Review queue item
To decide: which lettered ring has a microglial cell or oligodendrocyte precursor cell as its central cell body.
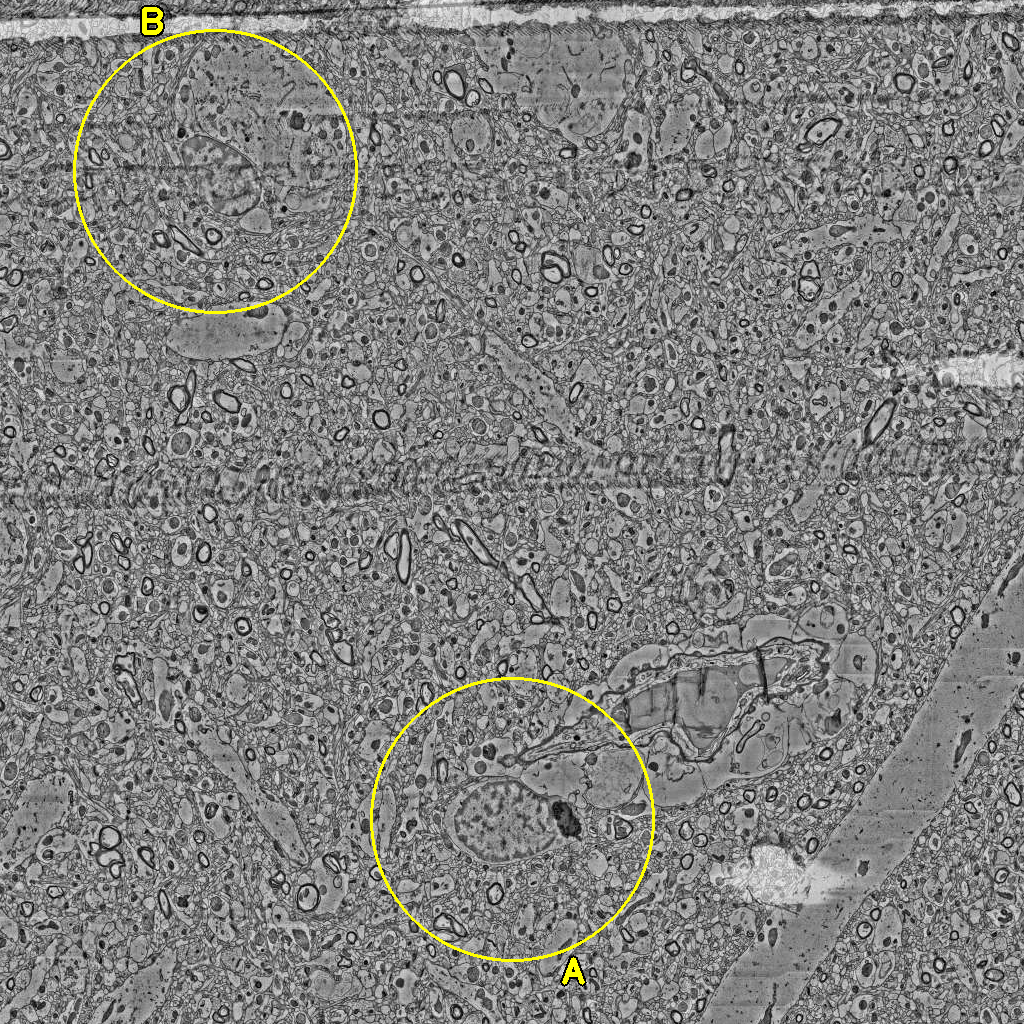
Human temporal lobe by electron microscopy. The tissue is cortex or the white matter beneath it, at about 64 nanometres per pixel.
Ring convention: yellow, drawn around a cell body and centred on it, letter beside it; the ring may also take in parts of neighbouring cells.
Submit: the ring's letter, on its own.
B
